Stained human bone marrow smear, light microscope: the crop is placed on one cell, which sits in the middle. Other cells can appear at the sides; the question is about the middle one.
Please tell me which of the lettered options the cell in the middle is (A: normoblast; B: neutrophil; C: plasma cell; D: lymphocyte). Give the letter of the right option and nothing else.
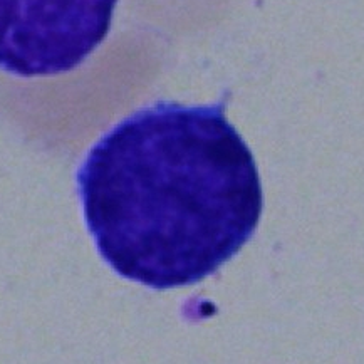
D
